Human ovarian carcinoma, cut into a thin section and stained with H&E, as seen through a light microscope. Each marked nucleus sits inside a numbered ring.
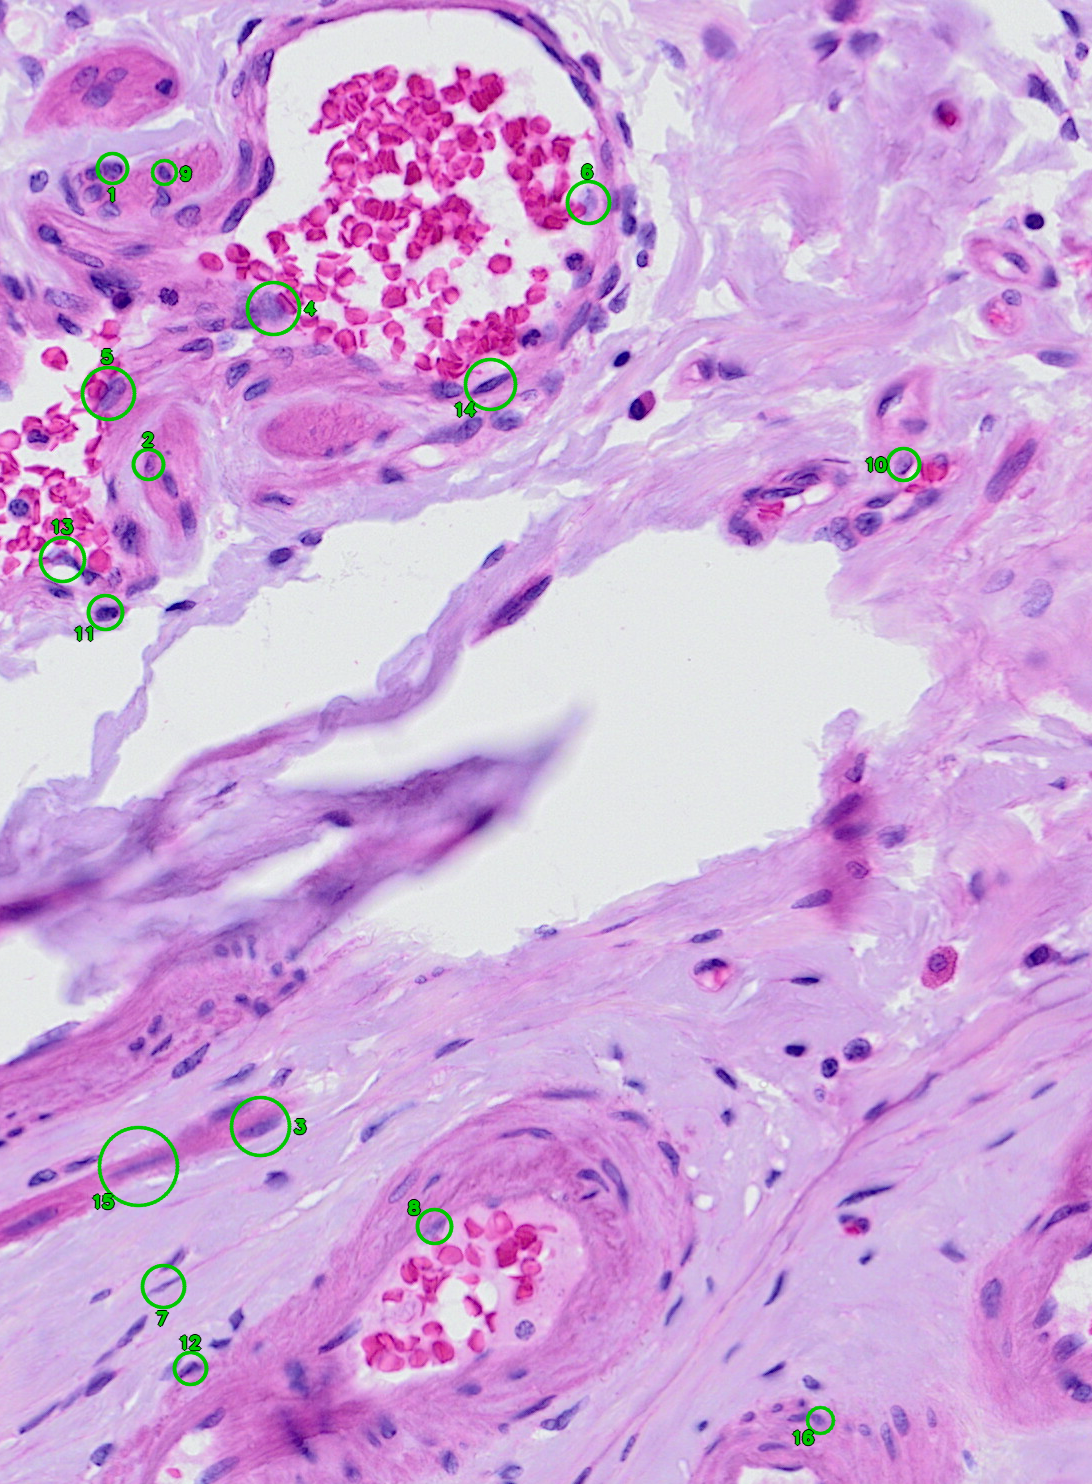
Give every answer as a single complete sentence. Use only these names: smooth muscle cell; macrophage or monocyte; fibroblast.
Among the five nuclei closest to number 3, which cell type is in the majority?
Fibroblasts account for more than half of the five nuclei nearest to number 3.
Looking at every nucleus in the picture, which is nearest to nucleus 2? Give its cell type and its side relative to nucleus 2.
A smooth muscle cell lies closest, below and to the right of nucleus 2.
